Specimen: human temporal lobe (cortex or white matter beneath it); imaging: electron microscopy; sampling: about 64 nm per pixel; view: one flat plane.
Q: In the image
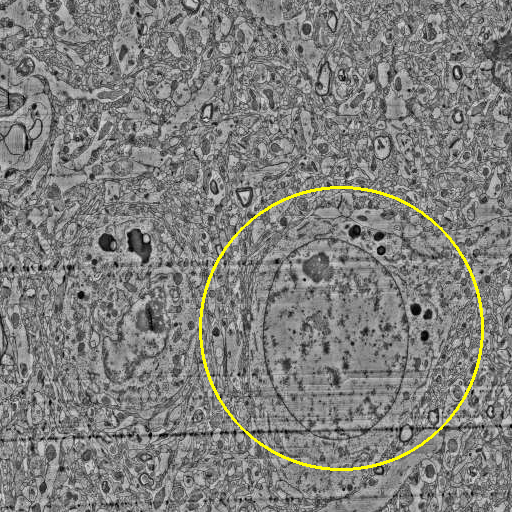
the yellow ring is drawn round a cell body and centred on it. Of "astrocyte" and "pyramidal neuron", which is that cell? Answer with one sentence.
The cell centred in the ring is a pyramidal neuron.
